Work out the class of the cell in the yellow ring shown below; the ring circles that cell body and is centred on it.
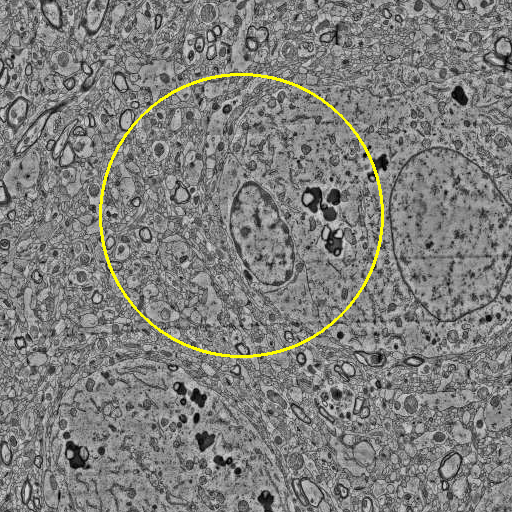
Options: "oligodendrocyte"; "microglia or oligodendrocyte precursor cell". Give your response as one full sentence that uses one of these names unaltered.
The body ringed in yellow, right at the ring's centre, is that of a microglial cell or oligodendrocyte precursor cell.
